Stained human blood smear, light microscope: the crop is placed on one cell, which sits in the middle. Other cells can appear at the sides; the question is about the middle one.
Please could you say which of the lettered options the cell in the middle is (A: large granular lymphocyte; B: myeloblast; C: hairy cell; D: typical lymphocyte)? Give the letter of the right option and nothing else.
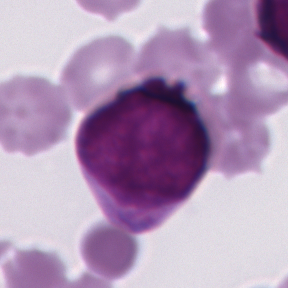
B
